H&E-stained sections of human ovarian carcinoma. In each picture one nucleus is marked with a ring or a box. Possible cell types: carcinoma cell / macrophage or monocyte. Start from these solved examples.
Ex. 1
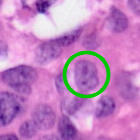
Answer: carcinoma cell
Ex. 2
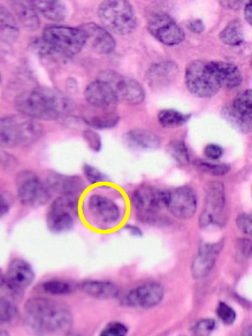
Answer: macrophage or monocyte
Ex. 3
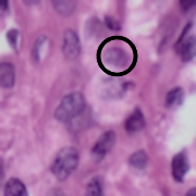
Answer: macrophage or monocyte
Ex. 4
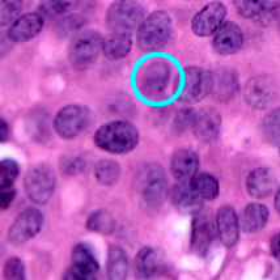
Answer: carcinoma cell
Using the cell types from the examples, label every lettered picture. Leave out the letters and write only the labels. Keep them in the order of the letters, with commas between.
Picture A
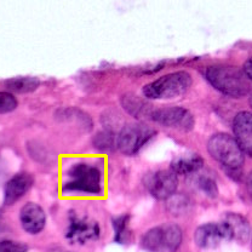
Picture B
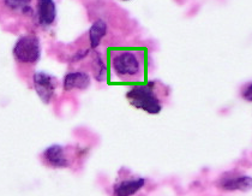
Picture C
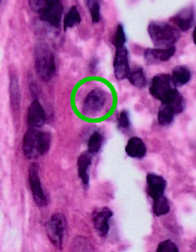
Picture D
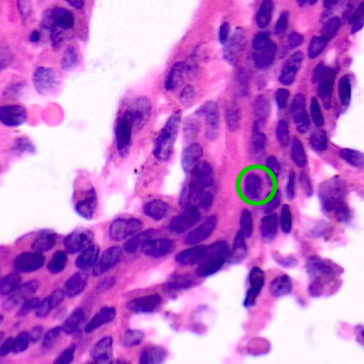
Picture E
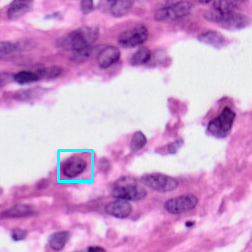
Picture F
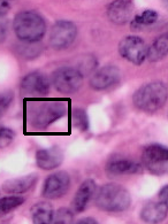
carcinoma cell, macrophage or monocyte, macrophage or monocyte, carcinoma cell, macrophage or monocyte, carcinoma cell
